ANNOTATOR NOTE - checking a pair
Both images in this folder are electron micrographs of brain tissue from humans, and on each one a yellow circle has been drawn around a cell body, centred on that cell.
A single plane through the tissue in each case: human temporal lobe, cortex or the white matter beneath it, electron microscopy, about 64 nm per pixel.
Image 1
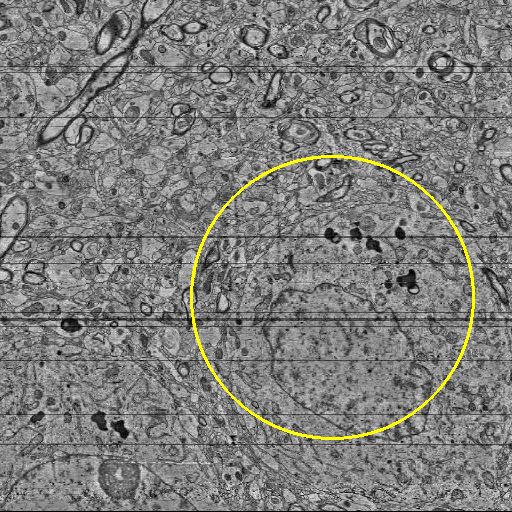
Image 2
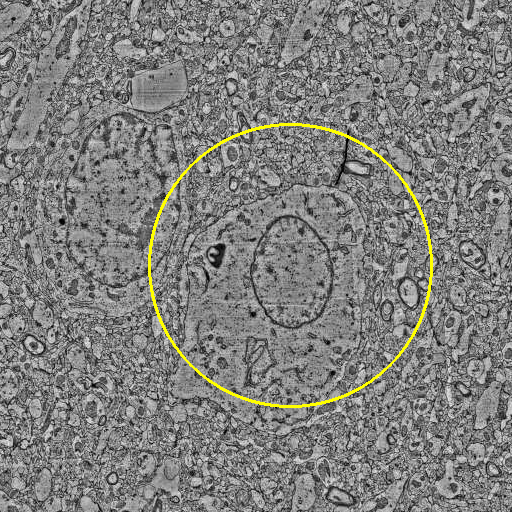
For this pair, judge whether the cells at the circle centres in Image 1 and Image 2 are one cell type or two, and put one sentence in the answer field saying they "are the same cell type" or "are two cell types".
For this pair, the cells at the circle centres in Images 1 and 2 are the same cell type.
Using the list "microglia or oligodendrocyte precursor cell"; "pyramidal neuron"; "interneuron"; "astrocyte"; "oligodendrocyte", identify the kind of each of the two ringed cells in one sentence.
Each of the two rings is centred on a pyramidal neuron.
